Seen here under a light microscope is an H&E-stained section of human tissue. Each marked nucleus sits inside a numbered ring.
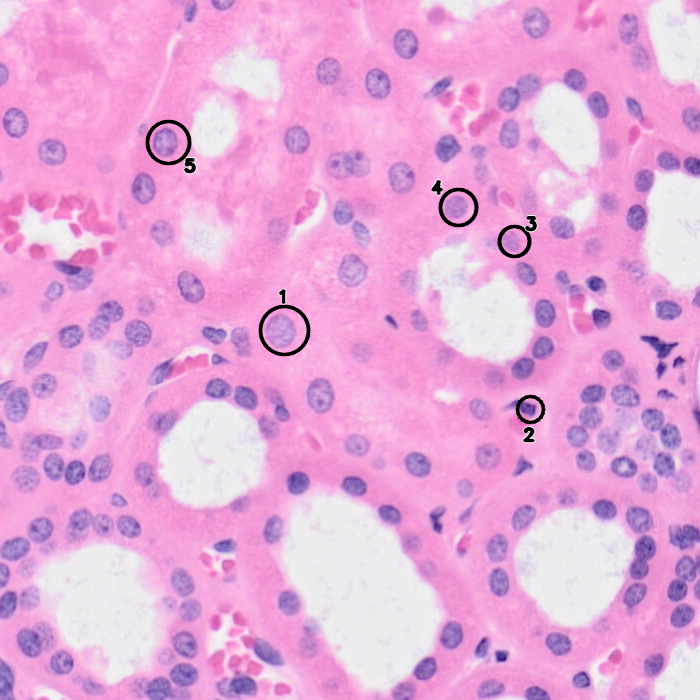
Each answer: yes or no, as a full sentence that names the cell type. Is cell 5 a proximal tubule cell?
Yes, regarding number 5, the cell is a proximal tubule cell.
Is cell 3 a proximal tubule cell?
No, the cell under number 3 is a loop of Henle or distal tubule cell instead of a proximal tubule cell.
